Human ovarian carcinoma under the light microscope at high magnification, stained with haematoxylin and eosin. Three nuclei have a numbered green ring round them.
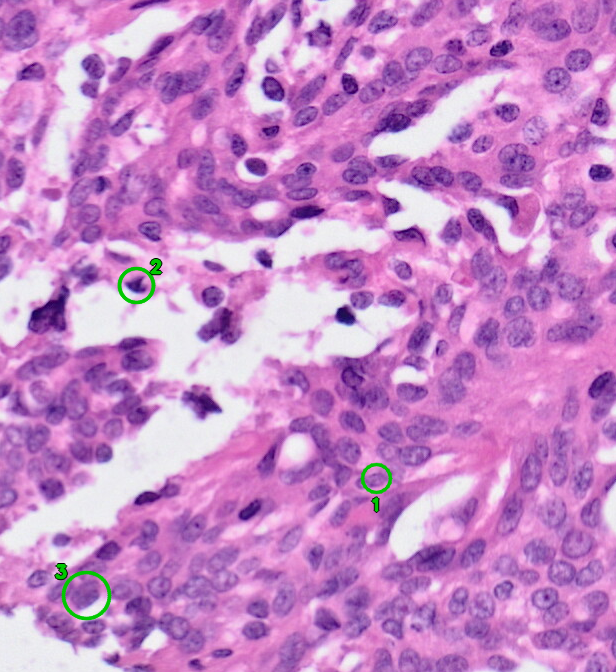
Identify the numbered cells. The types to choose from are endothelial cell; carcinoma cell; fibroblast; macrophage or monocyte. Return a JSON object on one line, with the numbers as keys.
{"1": "macrophage or monocyte", "2": "macrophage or monocyte", "3": "carcinoma cell"}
